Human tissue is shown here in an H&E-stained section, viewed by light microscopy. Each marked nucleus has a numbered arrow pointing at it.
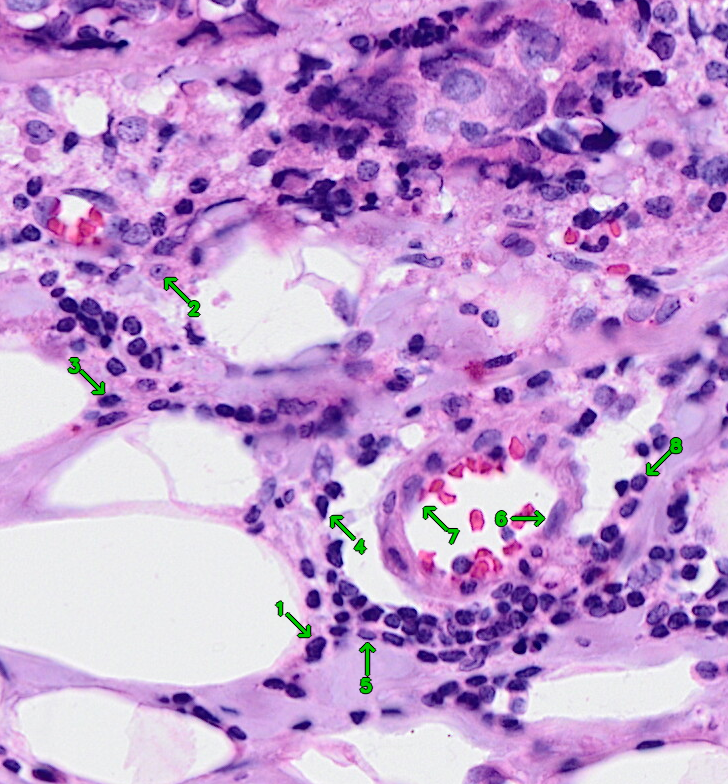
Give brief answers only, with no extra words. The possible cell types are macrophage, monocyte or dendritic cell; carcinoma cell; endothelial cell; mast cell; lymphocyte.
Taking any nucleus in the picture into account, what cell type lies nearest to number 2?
macrophage, monocyte or dendritic cell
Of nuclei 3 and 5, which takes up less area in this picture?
5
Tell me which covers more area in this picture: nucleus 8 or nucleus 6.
6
